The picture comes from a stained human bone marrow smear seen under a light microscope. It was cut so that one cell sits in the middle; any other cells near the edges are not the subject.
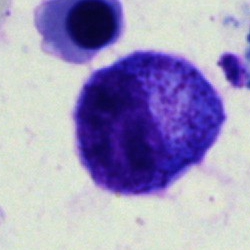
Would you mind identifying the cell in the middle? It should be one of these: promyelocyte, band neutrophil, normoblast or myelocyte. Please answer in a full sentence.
Framed in the middle of the crop is a promyelocyte.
